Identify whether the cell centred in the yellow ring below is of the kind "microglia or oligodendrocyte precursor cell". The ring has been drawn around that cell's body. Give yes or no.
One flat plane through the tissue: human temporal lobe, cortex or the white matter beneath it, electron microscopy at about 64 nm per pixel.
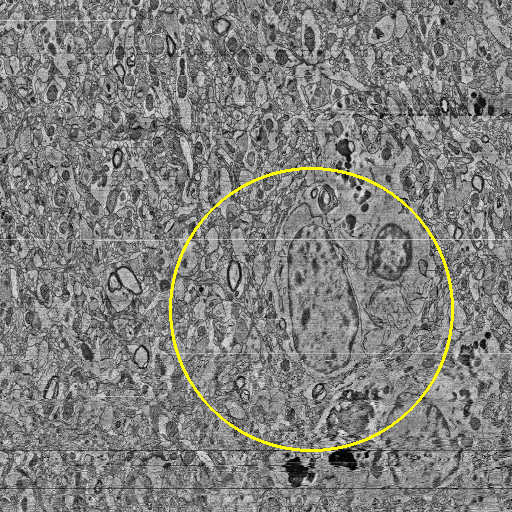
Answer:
no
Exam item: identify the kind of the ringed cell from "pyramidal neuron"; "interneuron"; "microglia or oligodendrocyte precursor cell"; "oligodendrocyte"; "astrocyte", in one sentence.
It is an astrocyte that the ring is centred on.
